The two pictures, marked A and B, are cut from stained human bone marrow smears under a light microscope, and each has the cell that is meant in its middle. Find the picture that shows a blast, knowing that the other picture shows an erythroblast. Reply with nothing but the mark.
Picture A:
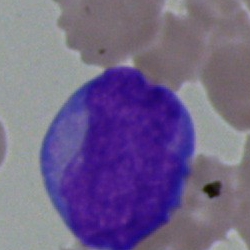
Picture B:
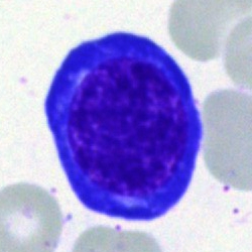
A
